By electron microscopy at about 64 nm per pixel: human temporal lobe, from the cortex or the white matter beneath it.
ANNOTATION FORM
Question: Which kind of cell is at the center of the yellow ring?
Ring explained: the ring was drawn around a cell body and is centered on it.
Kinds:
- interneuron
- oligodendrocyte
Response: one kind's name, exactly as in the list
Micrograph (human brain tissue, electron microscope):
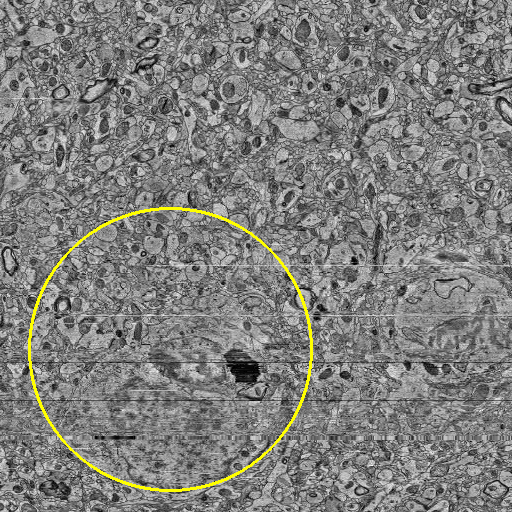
oligodendrocyte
